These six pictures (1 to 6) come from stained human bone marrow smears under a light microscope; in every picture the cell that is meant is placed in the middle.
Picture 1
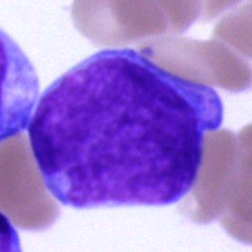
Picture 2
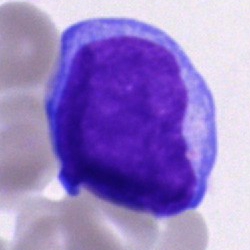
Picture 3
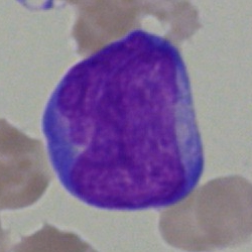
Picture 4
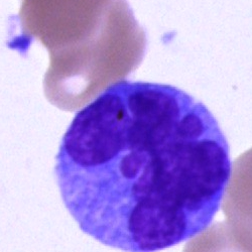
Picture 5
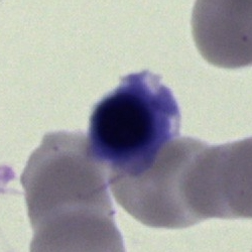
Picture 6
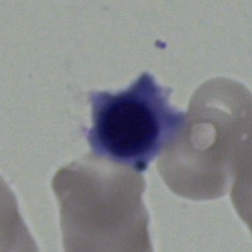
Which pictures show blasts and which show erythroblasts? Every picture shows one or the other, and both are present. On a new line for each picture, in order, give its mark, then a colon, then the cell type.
1: blast
2: blast
3: blast
4: blast
5: erythroblast
6: erythroblast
